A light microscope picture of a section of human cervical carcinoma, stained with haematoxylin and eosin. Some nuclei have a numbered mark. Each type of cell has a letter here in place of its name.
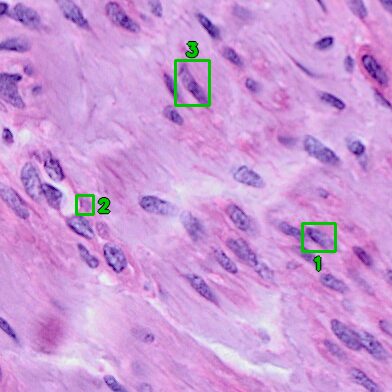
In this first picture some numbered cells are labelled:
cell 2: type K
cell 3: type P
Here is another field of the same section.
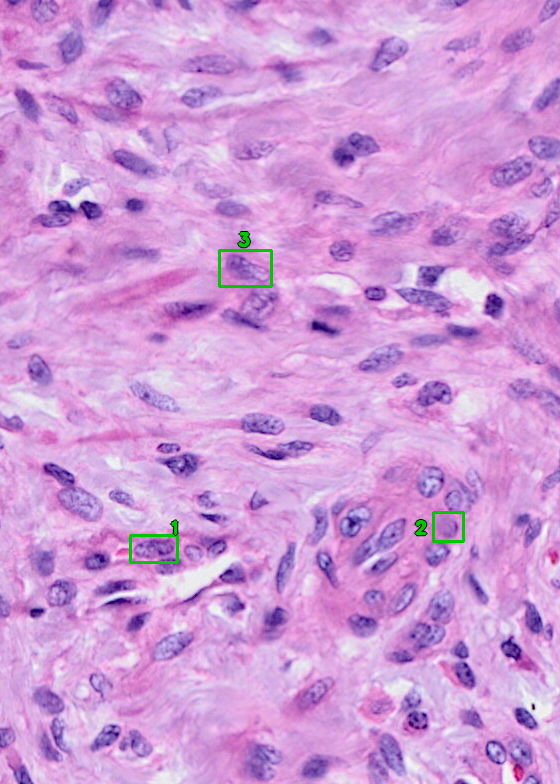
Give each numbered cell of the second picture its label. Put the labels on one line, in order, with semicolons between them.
type K; type P; type K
